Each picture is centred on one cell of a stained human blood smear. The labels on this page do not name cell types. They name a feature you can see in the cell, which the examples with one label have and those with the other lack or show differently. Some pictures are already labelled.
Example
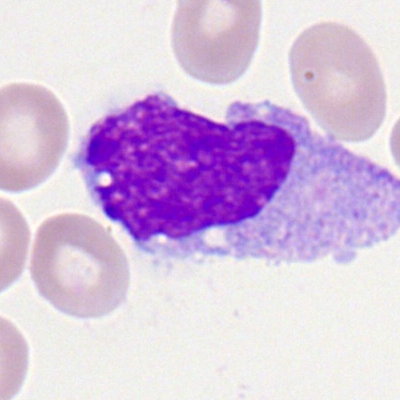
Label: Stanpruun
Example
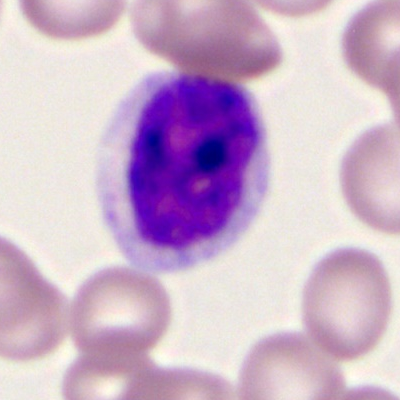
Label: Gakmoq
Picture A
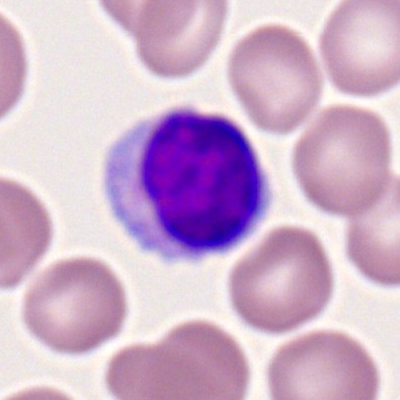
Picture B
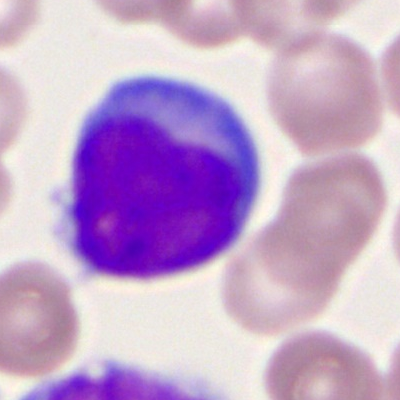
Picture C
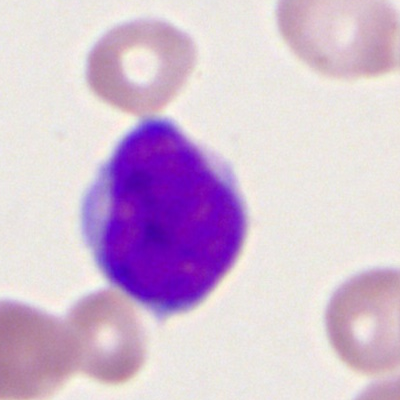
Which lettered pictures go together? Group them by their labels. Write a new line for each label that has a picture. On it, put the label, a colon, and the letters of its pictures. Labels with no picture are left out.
Stanpruun: A, B, C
